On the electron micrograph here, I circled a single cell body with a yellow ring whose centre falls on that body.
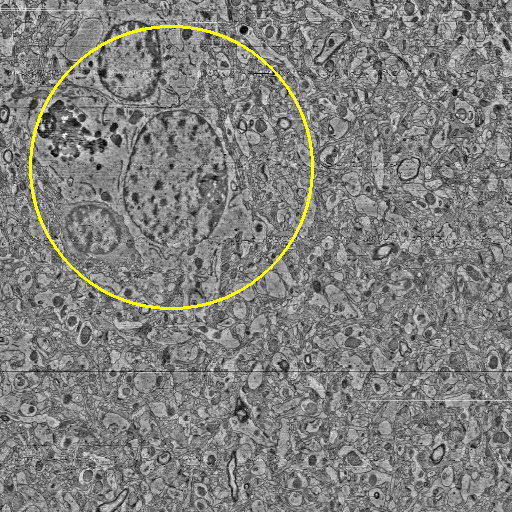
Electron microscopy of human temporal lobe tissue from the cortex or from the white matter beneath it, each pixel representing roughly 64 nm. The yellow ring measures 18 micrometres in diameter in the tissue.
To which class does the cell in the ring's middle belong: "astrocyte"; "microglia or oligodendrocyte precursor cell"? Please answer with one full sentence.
In this picture, the cell body circled at the ring's centre belongs to an astrocyte.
